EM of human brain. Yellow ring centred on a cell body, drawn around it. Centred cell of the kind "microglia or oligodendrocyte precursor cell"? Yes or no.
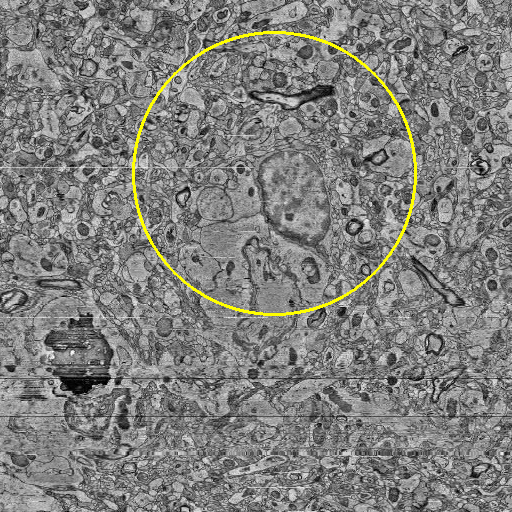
no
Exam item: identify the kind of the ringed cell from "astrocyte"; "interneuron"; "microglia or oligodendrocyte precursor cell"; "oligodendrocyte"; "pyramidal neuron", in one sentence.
The ringed cell in this picture is, instead, an oligodendrocyte.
